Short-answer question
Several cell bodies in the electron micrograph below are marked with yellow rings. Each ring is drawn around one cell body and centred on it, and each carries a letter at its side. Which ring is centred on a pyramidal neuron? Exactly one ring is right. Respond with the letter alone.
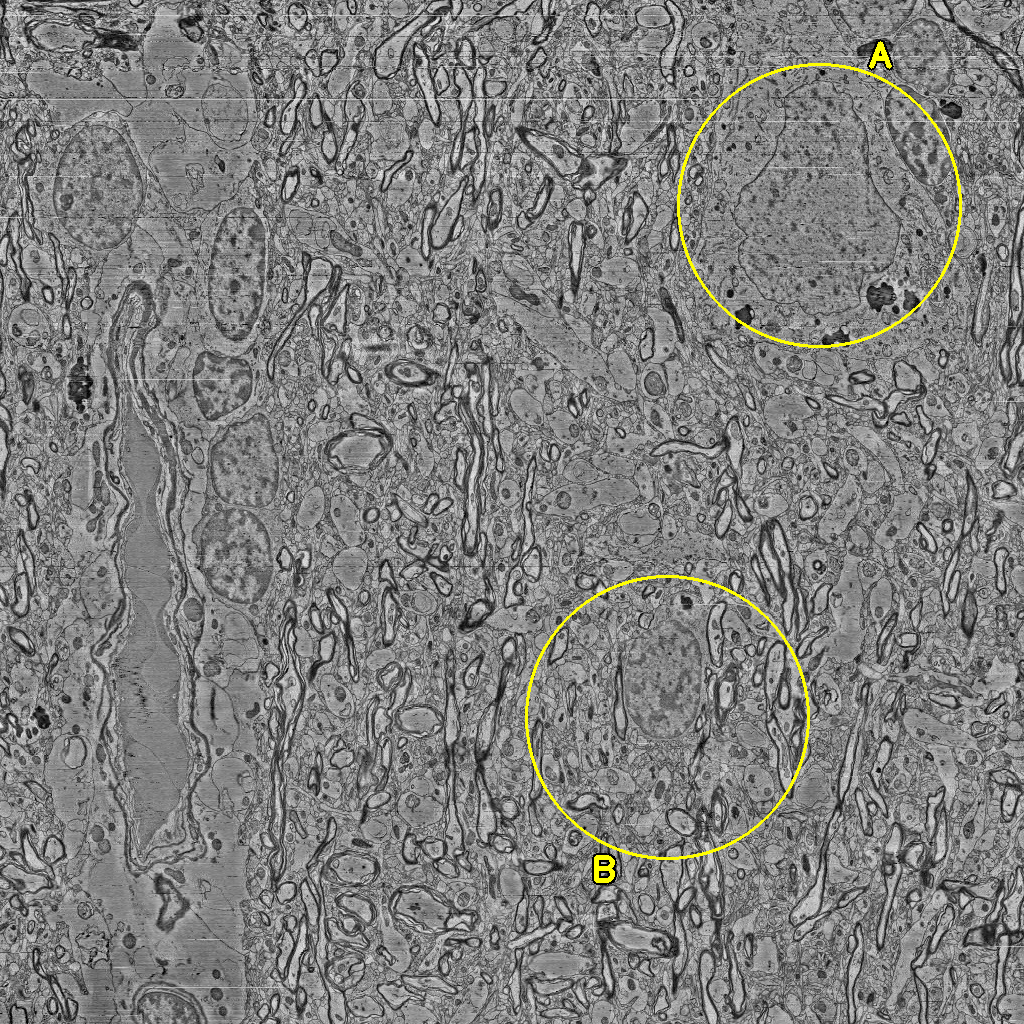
A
